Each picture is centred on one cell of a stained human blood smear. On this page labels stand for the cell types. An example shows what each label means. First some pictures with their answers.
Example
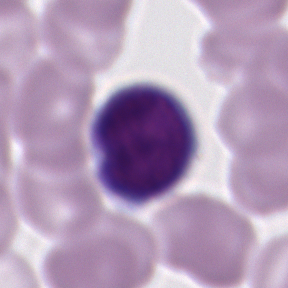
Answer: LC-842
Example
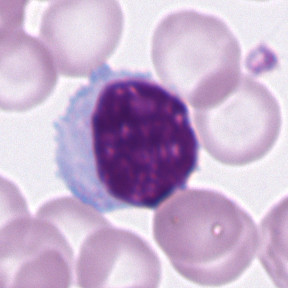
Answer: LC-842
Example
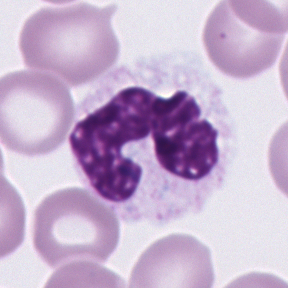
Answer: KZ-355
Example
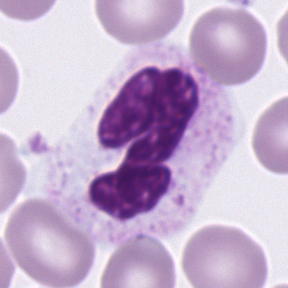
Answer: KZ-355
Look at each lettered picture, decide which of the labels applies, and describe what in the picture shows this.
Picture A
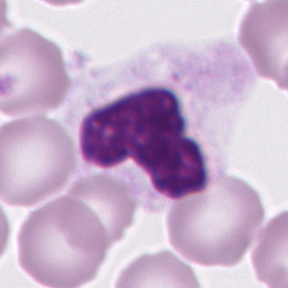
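Answer: KZ-355. The cytoplasm is abundant and is widest above and to the right of the nucleus.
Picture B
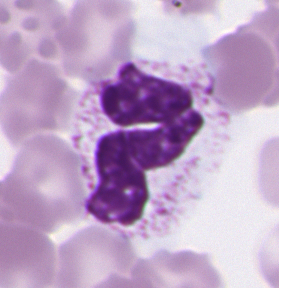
Answer: KZ-355. The cytoplasm is pale and almost colourless.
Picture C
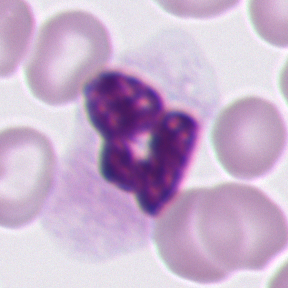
Answer: KZ-355. The cytoplasm is abundant and very pale lilac.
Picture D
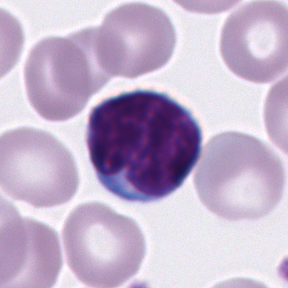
Answer: LC-842. The cytoplasm is a scant pale blue rim, widest at the lower left.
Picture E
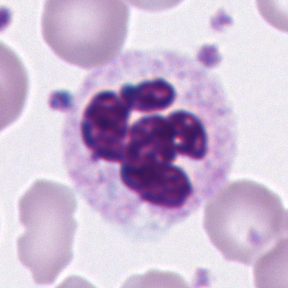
Answer: KZ-355. The cytoplasm is abundant and pale pinkish-lilac.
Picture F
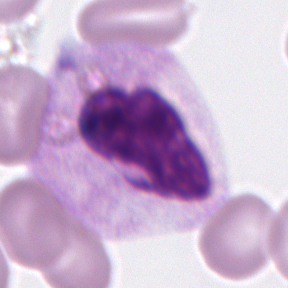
Answer: KZ-355. Abundant pale lilac cytoplasm surrounds the nucleus on all sides.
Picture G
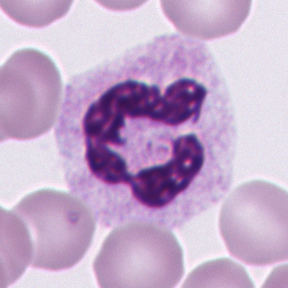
Answer: KZ-355. The cytoplasm is abundant and pale pinkish-lilac.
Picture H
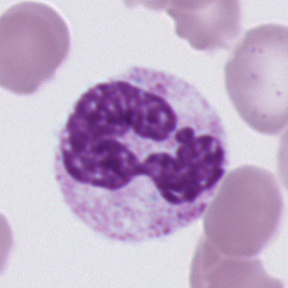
Answer: KZ-355. The cytoplasm is pale pink.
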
